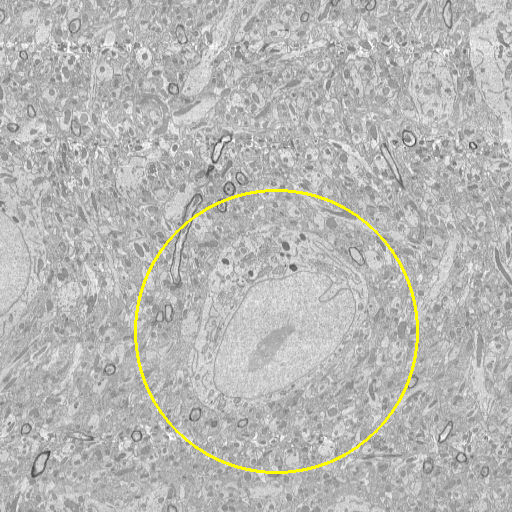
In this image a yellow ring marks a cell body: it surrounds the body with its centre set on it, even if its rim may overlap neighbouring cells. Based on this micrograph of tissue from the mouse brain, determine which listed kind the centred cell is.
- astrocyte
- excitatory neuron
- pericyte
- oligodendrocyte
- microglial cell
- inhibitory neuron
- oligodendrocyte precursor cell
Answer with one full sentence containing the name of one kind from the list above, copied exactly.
It is an inhibitory neuron whose body the yellow ring encloses at its centre.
